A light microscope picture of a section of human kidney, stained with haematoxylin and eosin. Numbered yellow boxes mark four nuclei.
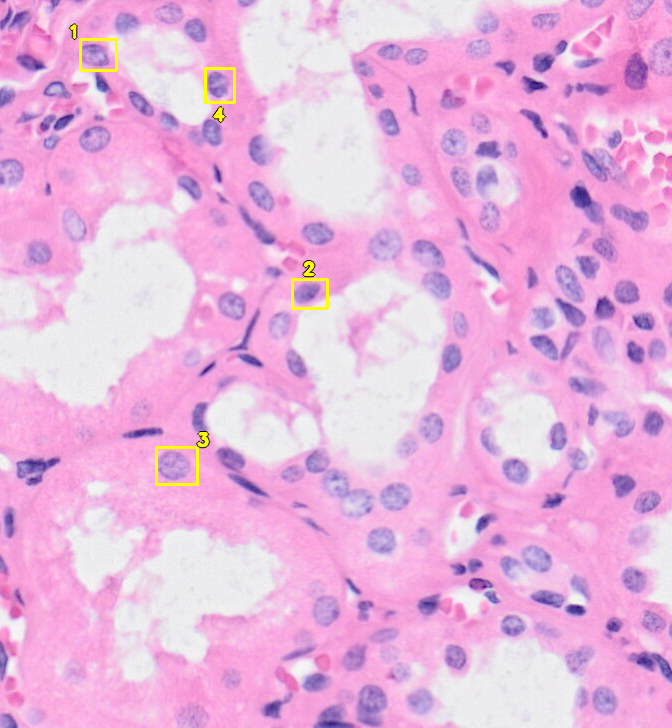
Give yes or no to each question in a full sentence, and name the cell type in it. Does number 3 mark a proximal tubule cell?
Yes, the cell pointed out as number 3 is a proximal tubule cell.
